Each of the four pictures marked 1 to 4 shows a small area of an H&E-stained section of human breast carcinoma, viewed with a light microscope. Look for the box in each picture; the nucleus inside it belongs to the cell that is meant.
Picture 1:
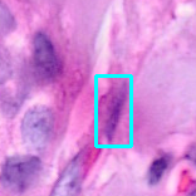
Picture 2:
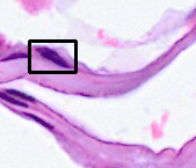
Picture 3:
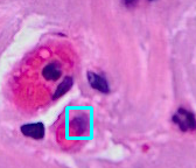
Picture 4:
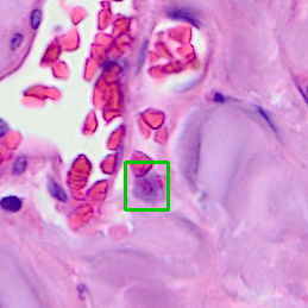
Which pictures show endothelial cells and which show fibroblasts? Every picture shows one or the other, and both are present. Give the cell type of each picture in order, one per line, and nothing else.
endothelial cell
fibroblast
endothelial cell
endothelial cell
